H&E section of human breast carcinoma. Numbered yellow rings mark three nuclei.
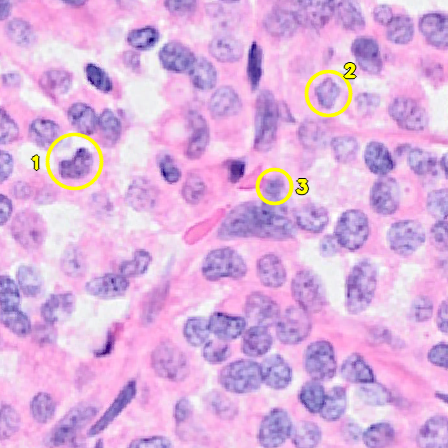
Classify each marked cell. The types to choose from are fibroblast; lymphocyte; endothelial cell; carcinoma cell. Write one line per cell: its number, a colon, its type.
1: carcinoma cell
2: carcinoma cell
3: endothelial cell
